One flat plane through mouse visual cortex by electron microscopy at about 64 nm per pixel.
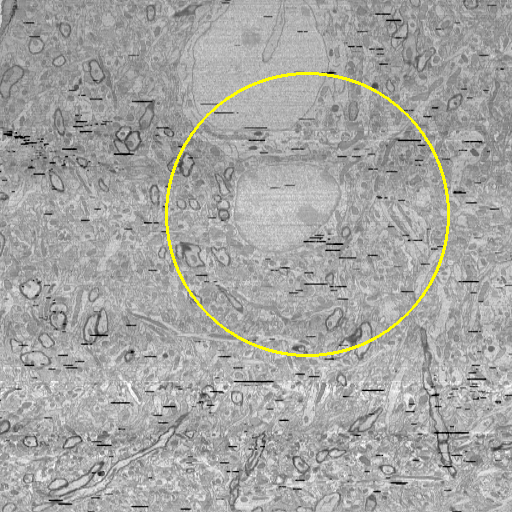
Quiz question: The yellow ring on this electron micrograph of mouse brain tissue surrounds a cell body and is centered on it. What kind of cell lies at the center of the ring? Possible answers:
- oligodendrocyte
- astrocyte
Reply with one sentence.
The ring's center lies on an astrocyte.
